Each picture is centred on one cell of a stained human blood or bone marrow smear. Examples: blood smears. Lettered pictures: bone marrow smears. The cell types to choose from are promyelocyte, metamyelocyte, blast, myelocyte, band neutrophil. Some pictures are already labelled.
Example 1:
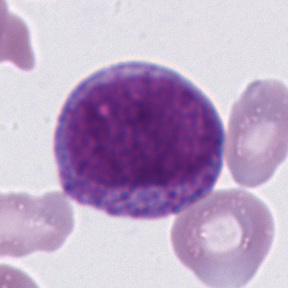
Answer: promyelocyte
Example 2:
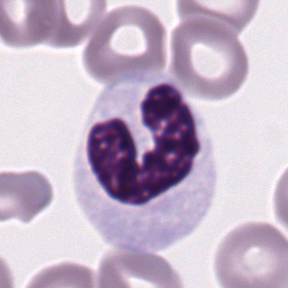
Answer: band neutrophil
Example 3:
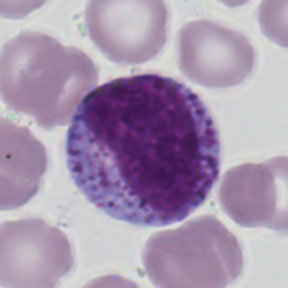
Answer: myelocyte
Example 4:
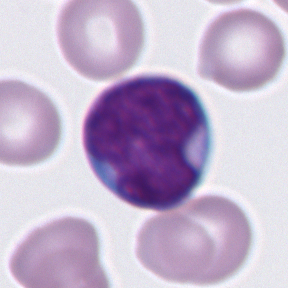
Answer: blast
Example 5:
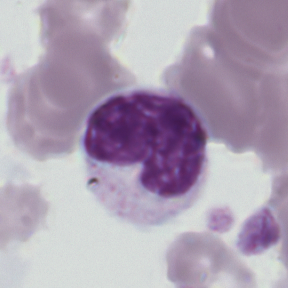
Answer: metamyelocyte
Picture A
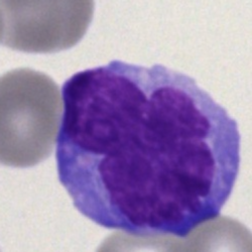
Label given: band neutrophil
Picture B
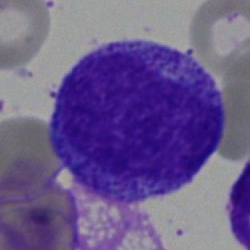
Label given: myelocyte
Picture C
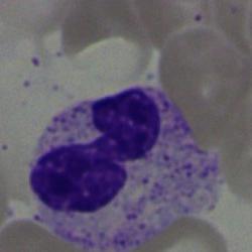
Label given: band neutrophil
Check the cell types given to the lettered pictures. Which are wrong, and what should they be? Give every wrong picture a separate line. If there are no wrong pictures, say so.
Wrong: A (band neutrophil); correct: blast
Wrong: B (myelocyte); correct: promyelocyte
